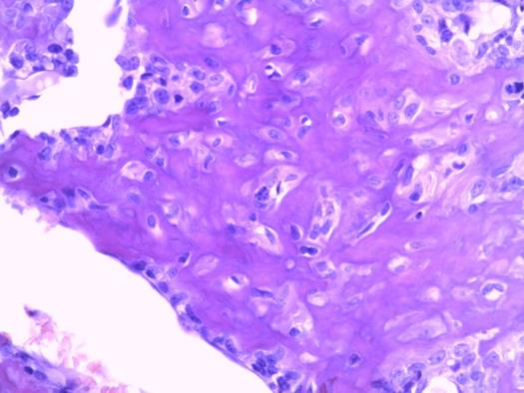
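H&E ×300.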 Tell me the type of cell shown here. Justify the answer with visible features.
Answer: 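Pleomorphic binuclear chondrocytes. Cells lying in lacunae within the matrix vary widely in size and shape. Some lacunae hold two nuclei. The cells are scattered irregularly through the matrix.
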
